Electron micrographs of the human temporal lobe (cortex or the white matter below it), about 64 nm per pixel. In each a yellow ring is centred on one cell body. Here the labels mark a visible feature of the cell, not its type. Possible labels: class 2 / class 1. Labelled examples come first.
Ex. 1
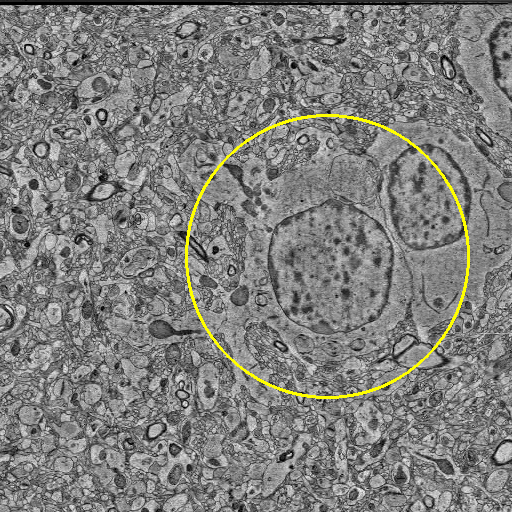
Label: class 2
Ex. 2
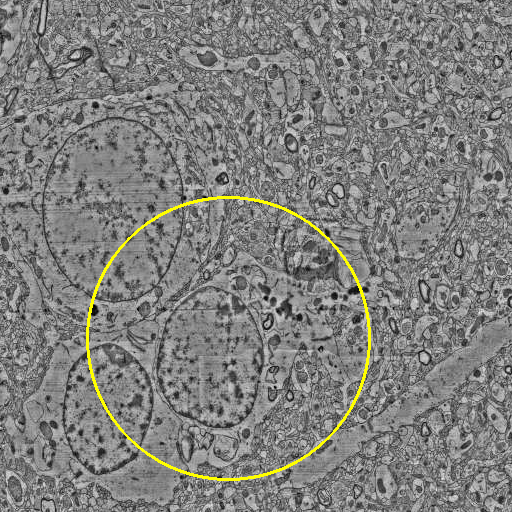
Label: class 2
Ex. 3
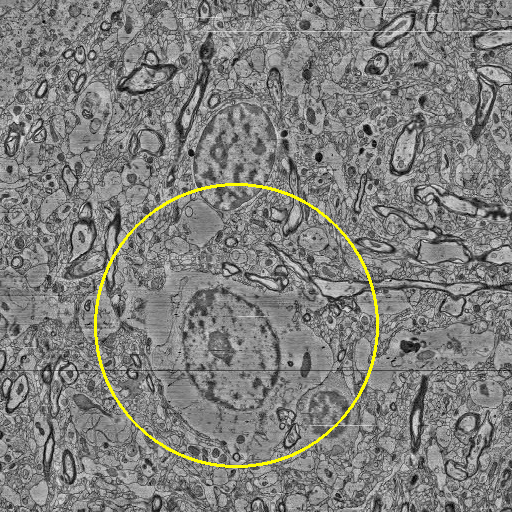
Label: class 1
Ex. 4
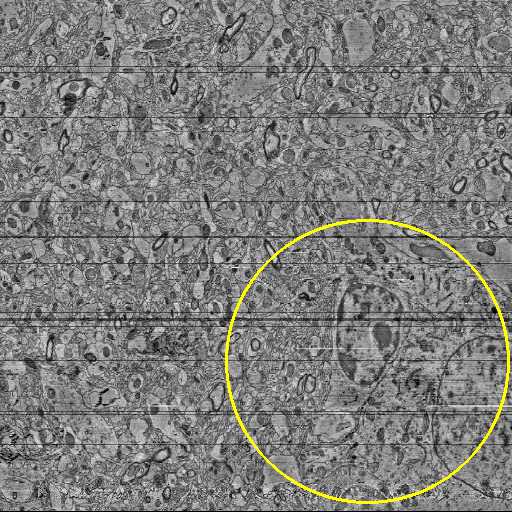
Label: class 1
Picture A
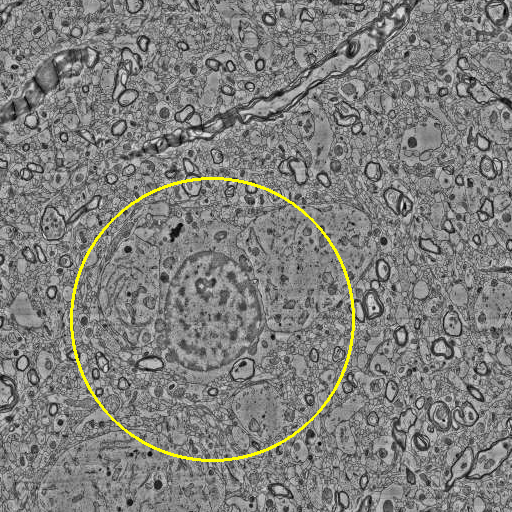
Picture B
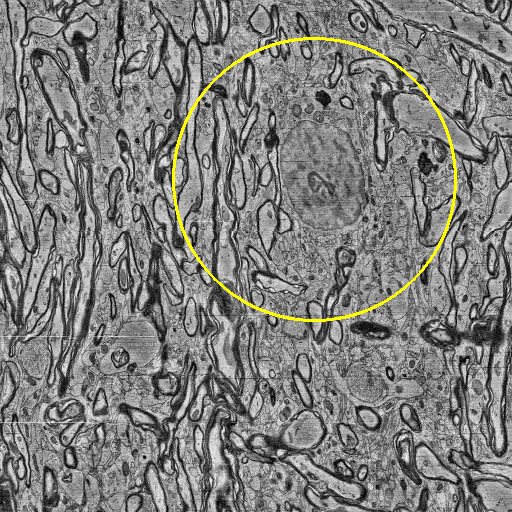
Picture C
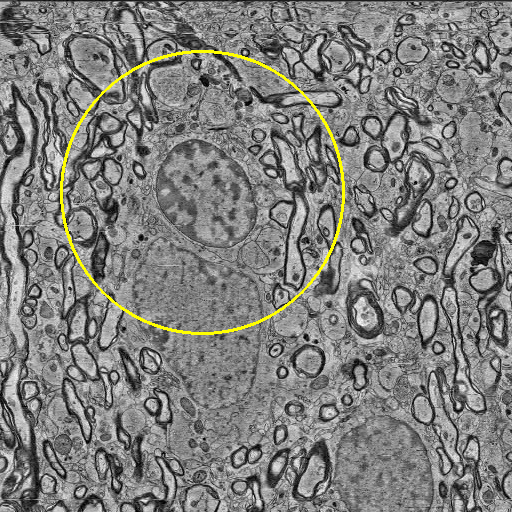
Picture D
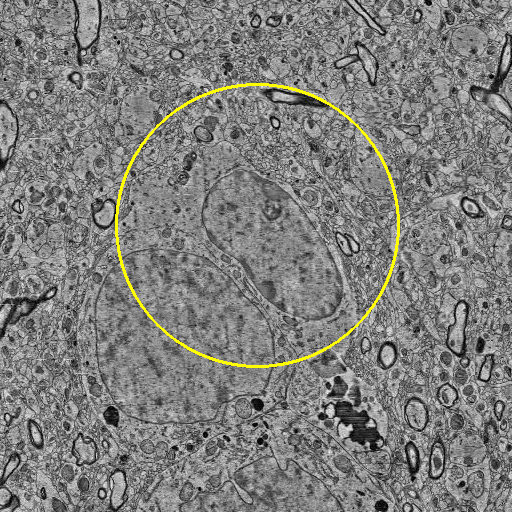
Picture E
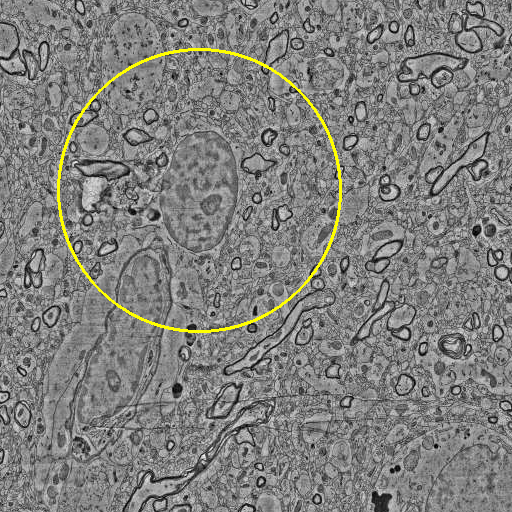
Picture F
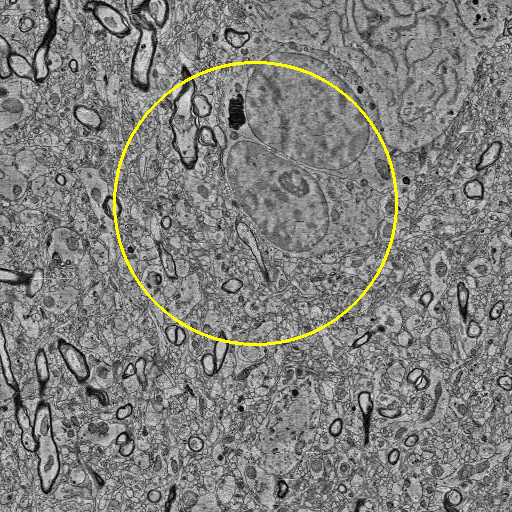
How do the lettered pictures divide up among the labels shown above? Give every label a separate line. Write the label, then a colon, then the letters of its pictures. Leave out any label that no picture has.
class 2: C
class 1: A, B, D, E, F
